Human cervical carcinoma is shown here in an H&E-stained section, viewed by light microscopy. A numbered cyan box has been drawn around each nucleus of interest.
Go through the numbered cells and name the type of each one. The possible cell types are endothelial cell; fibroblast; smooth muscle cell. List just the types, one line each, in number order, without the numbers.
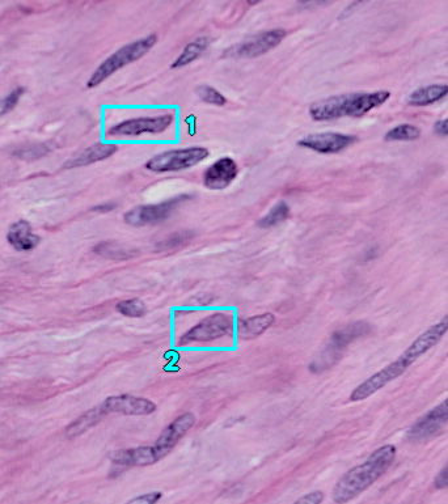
fibroblast
smooth muscle cell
